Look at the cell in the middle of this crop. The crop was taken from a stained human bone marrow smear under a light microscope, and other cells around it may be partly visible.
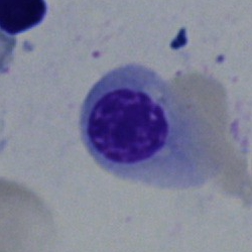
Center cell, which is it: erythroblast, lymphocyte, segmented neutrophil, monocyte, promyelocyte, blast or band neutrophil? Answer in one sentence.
Located at the centre of the crop is an erythroblast.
